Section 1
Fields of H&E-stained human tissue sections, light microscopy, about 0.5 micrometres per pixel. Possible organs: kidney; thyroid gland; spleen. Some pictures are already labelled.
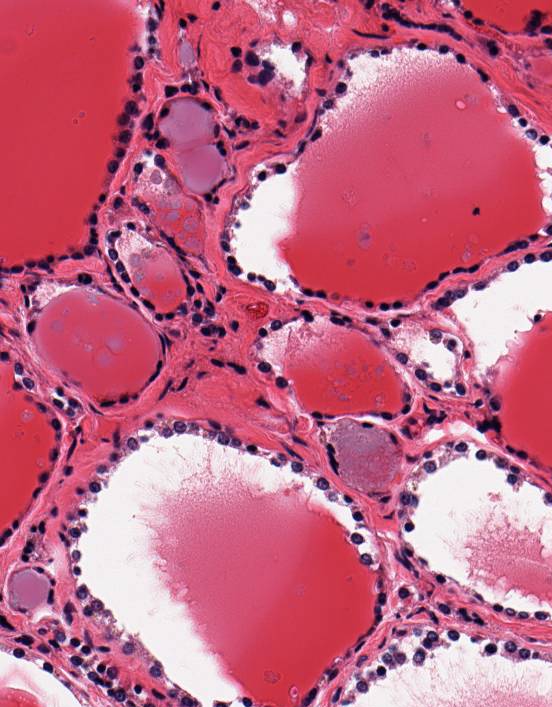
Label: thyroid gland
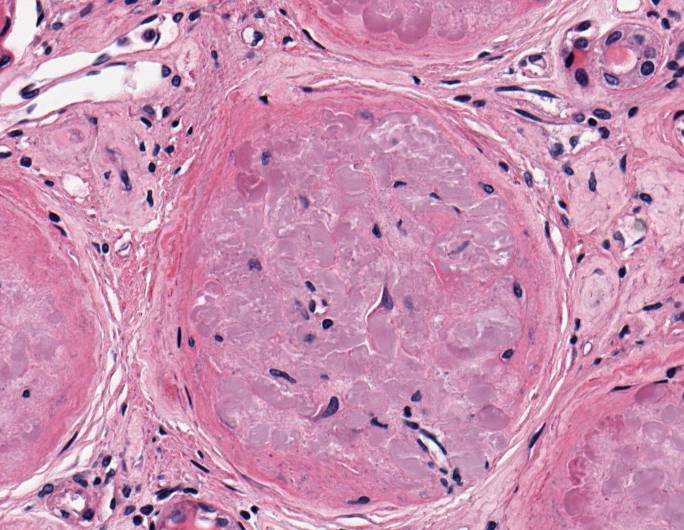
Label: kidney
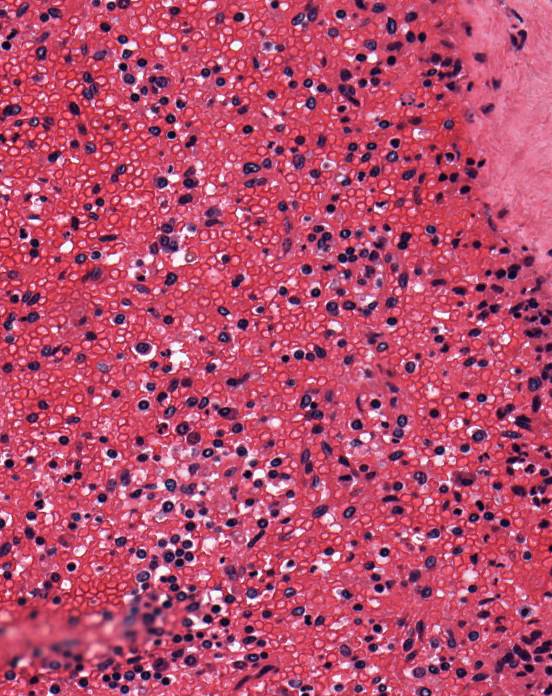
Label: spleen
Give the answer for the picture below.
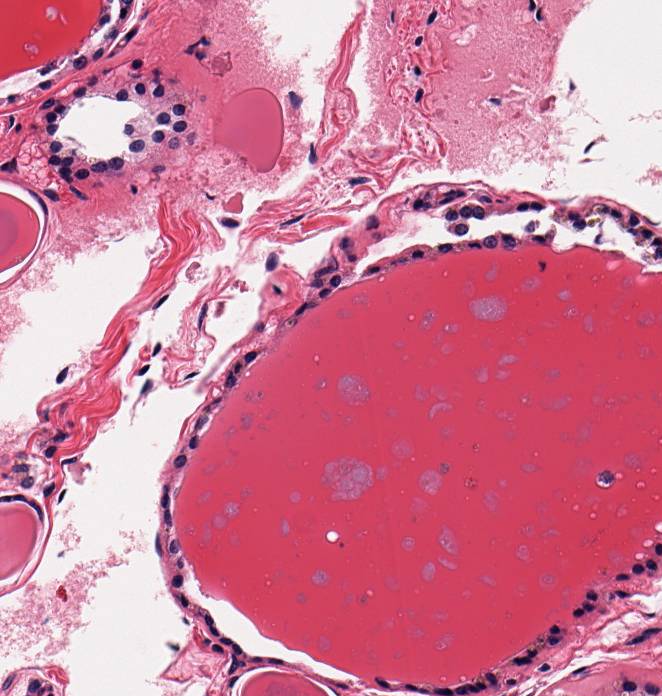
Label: thyroid gland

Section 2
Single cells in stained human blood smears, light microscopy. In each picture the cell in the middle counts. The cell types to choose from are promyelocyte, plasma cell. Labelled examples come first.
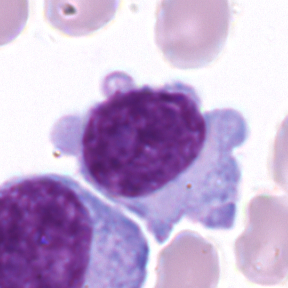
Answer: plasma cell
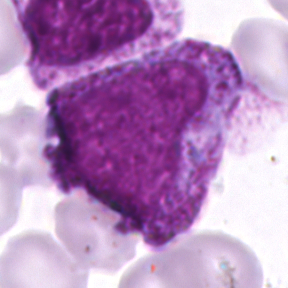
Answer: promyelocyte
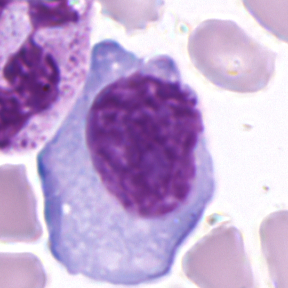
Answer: plasma cell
